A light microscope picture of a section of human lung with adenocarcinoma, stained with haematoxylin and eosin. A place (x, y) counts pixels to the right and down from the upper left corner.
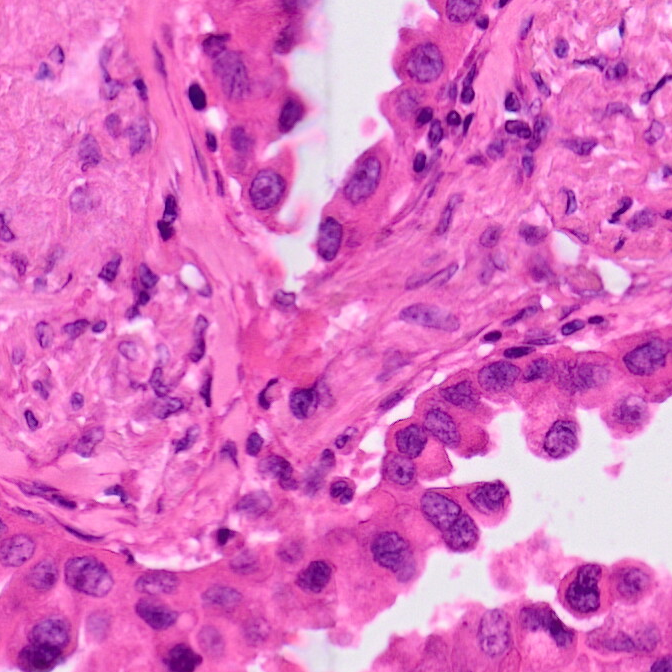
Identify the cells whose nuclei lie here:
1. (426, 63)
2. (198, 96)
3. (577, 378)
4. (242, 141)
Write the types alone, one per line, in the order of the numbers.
carcinoma cell
lymphocyte
carcinoma cell
carcinoma cell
